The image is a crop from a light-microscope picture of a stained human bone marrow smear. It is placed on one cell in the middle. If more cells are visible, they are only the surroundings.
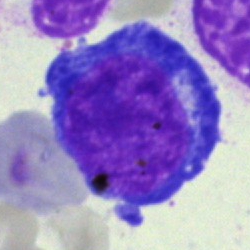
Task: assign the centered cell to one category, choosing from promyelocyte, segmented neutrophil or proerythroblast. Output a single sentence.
The central element of this crop is a cell, namely a proerythroblast.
